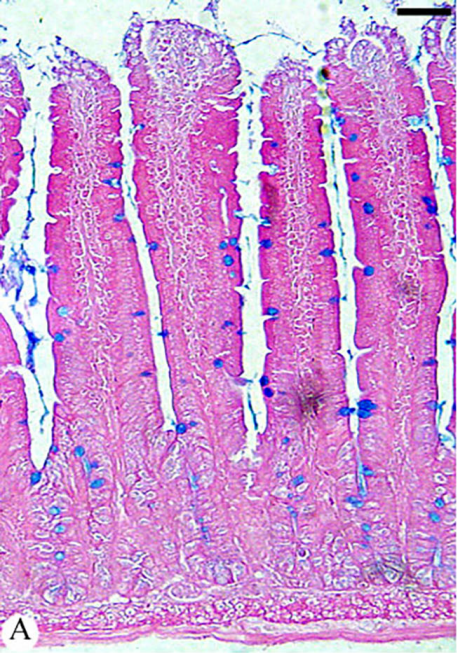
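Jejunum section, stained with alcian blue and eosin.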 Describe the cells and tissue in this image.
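Intestinal mucosa with tall, finger-like villi covered by a pink-stained columnar epithelium, separated by narrow clear spaces, with crypts crowded at the base above a thin pink muscular layer. Goblet cells appear as small round blue-stained bodies scattered singly along the epithelium of the villi and among the crypts.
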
